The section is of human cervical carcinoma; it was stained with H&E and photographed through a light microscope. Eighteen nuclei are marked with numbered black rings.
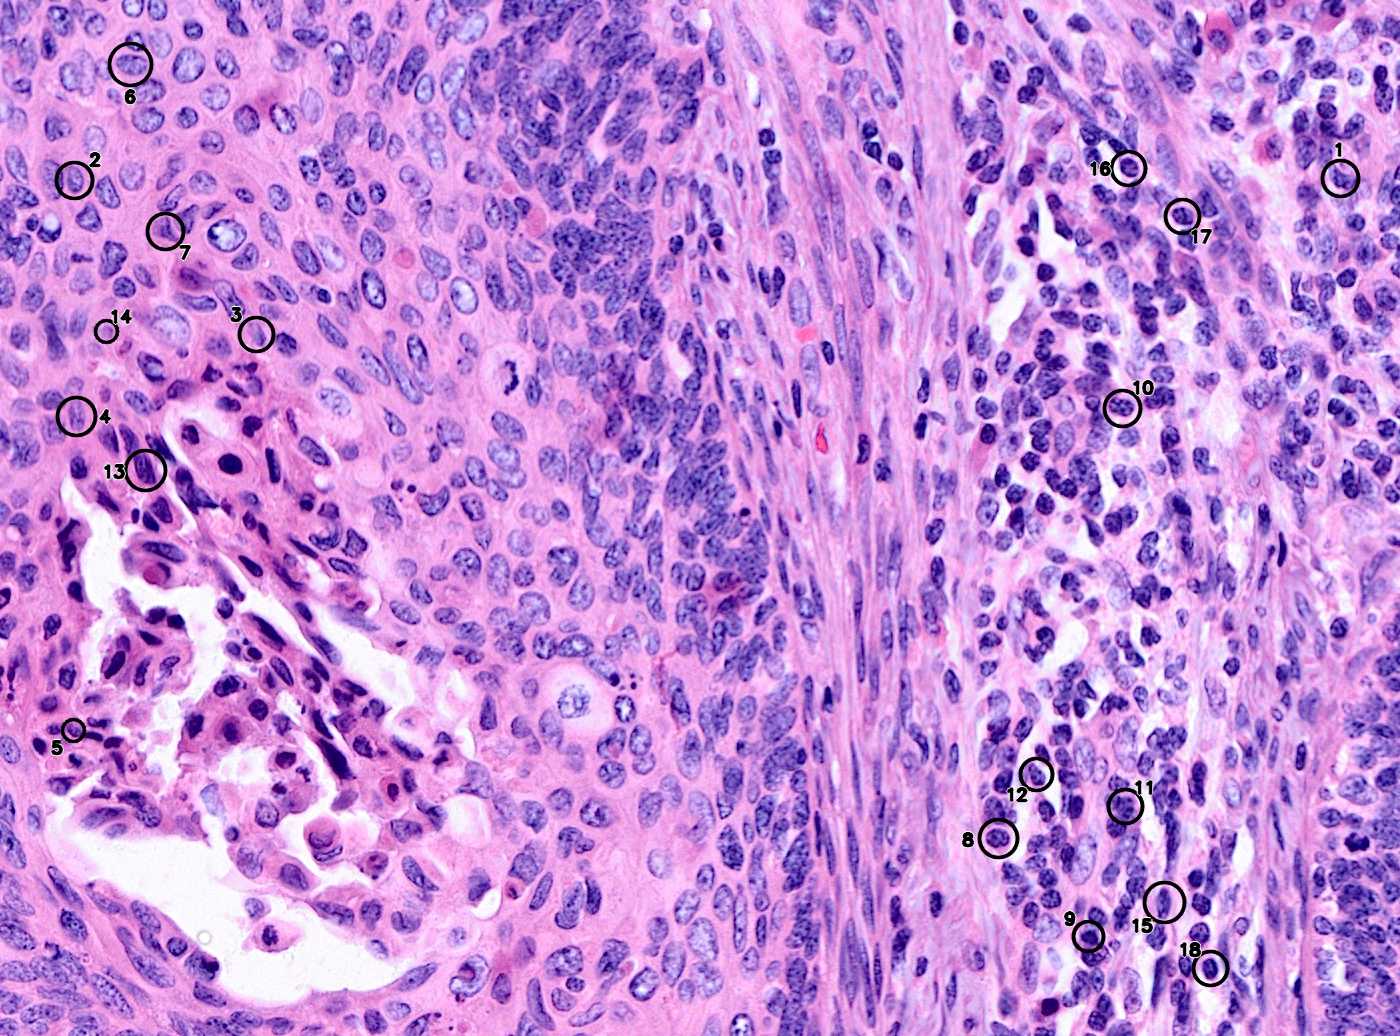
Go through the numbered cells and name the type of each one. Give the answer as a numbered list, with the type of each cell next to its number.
1. lymphocyte
2. squamous carcinoma cell
3. squamous carcinoma cell
4. squamous carcinoma cell
5. squamous carcinoma cell
6. squamous carcinoma cell
7. squamous carcinoma cell
8. lymphocyte
9. lymphocyte
10. lymphocyte
11. lymphocyte
12. lymphocyte
13. squamous carcinoma cell
14. squamous carcinoma cell
15. lymphocyte
16. lymphocyte
17. lymphocyte
18. lymphocyte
